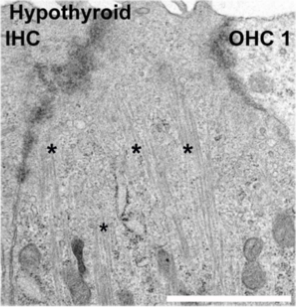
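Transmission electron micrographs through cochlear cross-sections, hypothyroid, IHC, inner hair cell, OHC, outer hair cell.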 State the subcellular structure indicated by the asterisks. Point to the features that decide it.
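Bundles of microtubules. Thin parallel filaments lie in a few separate strands near the asterisks. The strands run roughly vertically through otherwise granular cytoplasm.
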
